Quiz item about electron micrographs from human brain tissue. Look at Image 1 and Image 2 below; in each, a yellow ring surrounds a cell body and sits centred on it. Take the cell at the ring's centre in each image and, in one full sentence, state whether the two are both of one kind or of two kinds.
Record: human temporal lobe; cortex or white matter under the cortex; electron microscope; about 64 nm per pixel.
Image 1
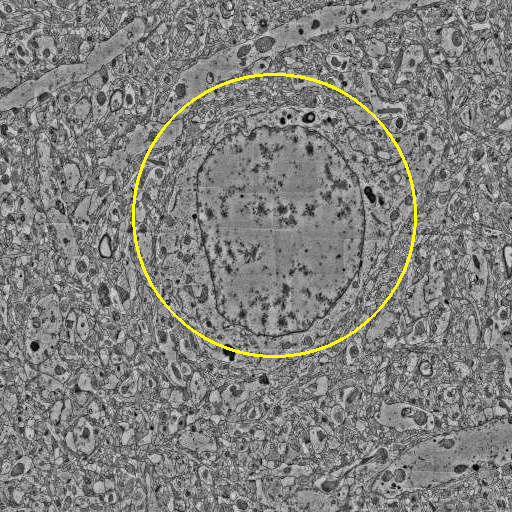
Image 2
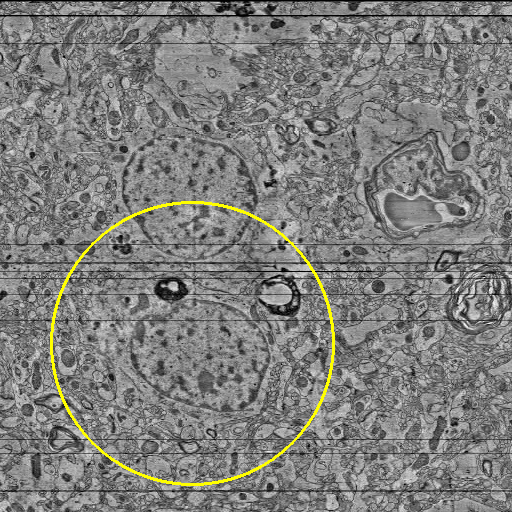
In Image 1 and Image 2, the cells at the ring centres are of two kinds.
